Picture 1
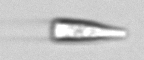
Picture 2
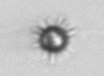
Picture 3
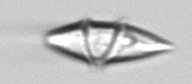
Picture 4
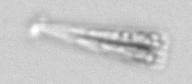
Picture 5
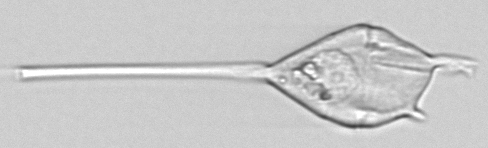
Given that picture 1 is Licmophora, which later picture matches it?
4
